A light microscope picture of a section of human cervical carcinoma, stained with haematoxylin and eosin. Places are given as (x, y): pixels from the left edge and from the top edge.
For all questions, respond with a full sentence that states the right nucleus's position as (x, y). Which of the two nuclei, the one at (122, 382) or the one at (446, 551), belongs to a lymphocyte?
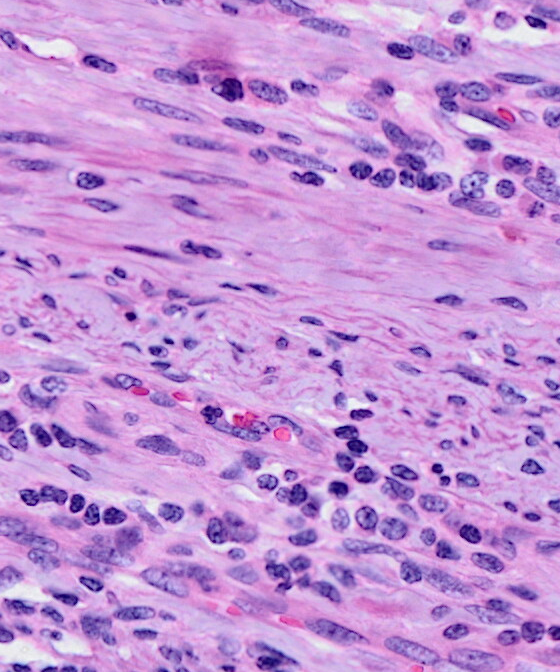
The nucleus of a lymphocyte is the one at (446, 551).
